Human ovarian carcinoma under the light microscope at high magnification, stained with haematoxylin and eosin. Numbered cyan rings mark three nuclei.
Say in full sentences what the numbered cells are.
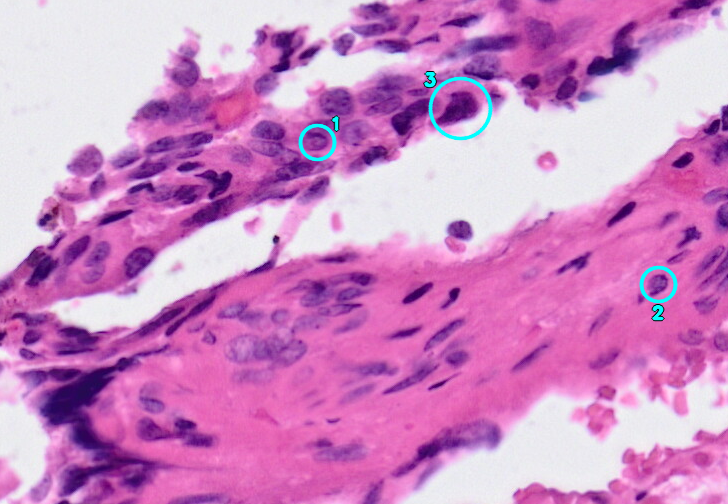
Cell 1 is a carcinoma cell, cell 2 is a macrophage or monocyte and cell 3 is a carcinoma cell.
